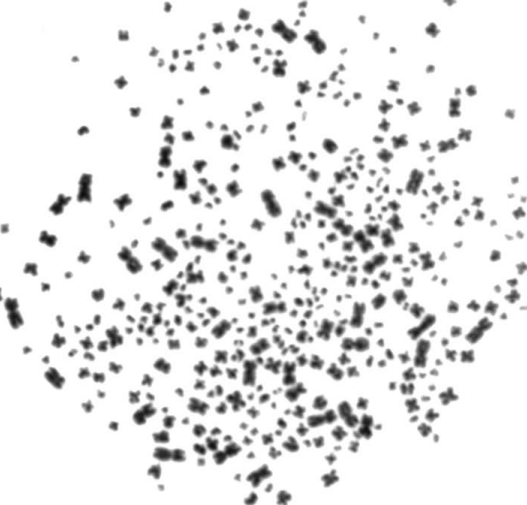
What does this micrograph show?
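Metaphase chromosome spread with a very large number of darkly stained, condensed chromosomes scattered over the field. Chromosomes range widely in size, from large two-armed chromosomes with visible sister chromatids to many tiny dot-like chromosomes. No nuclear envelope or interphase nucleus is seen.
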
